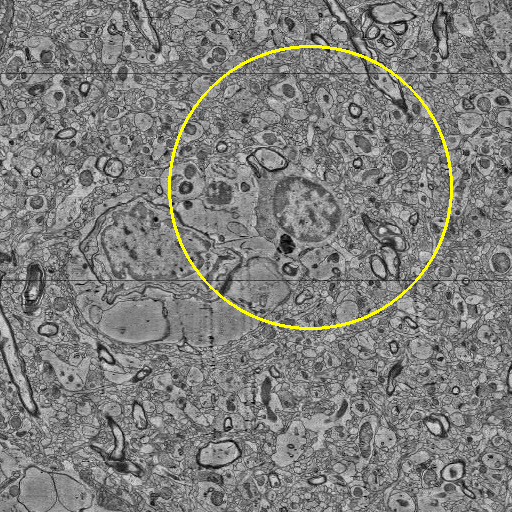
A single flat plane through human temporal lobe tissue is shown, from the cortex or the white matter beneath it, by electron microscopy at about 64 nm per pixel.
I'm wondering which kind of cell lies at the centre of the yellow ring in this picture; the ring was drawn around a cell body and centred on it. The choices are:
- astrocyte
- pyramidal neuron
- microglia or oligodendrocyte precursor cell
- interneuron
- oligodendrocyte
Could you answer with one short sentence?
At the centre of the ring lies an oligodendrocyte.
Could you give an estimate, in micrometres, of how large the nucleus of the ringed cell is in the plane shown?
Approximately 4 micrometres across in this plane.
